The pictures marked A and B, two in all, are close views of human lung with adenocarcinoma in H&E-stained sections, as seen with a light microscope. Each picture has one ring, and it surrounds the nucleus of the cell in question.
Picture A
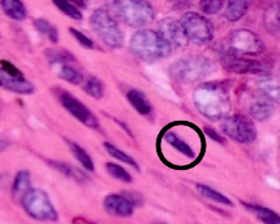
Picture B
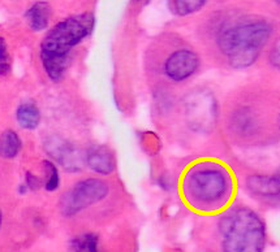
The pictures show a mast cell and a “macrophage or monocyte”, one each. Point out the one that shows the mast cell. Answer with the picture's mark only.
A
